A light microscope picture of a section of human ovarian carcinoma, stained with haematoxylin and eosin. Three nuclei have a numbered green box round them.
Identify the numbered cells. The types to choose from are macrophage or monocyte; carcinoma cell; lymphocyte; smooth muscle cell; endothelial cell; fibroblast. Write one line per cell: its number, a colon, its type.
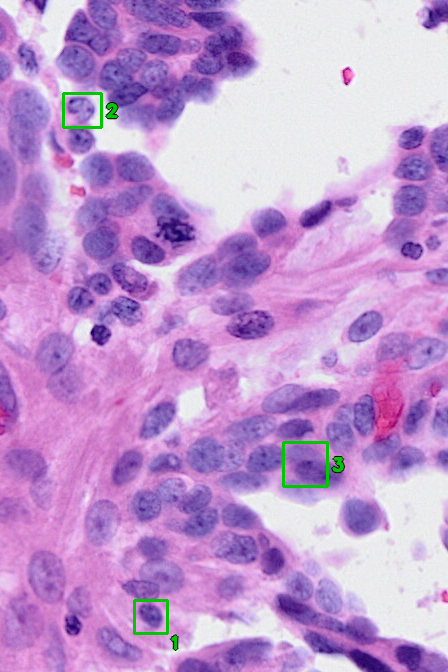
1: lymphocyte
2: macrophage or monocyte
3: carcinoma cell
